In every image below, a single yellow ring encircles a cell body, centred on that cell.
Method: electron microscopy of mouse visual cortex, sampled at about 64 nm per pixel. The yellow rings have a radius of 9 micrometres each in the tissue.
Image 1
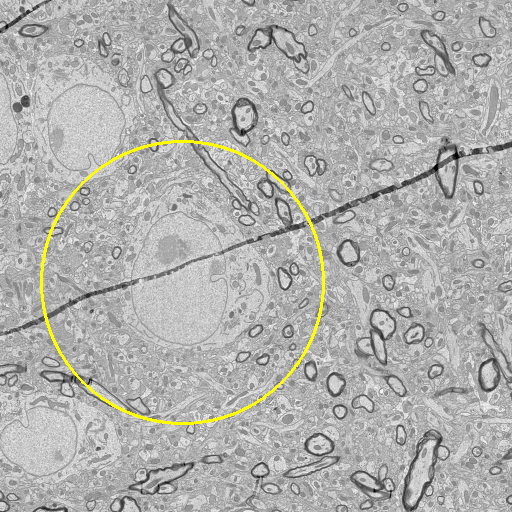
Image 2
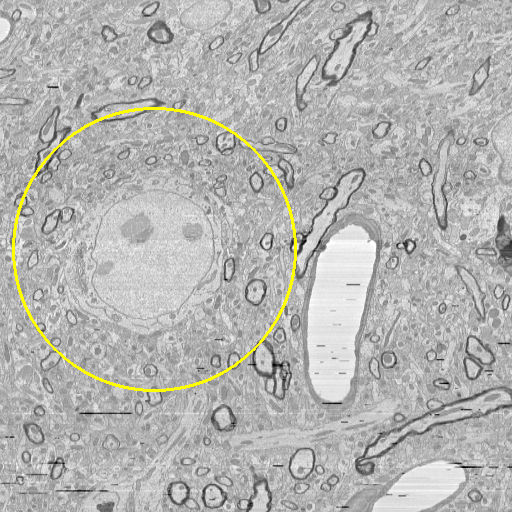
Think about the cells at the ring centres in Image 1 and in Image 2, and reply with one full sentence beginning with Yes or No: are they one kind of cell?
Yes, the cells centred in the rings of Image 1 and Image 2 are one kind of cell.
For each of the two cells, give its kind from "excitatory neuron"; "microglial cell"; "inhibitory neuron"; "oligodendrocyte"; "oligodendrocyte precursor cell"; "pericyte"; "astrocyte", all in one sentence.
The cell at the ring centre is an excitatory neuron in both pictures.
